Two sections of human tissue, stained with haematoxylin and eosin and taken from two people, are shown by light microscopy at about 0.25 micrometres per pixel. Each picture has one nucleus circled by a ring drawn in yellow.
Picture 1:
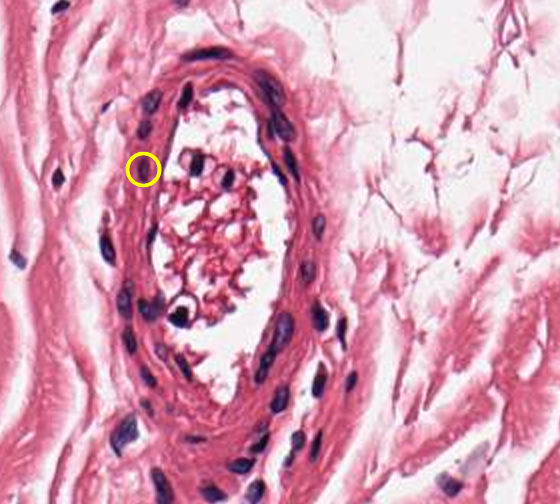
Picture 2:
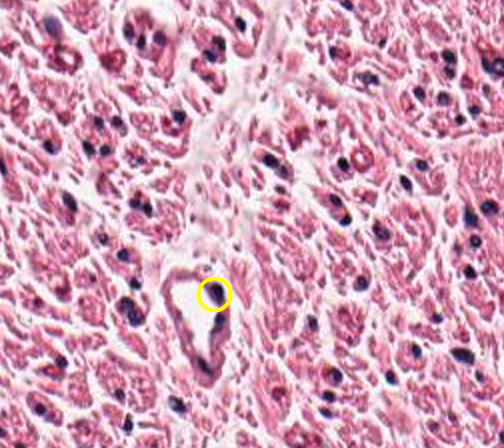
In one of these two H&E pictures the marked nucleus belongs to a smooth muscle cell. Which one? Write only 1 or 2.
1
